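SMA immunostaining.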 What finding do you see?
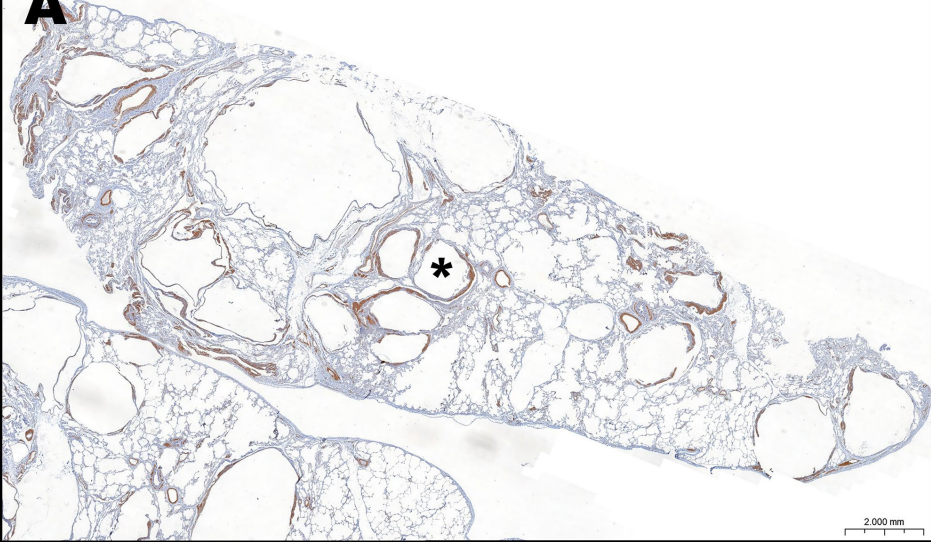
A: cystic destruction of lung parenchyma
